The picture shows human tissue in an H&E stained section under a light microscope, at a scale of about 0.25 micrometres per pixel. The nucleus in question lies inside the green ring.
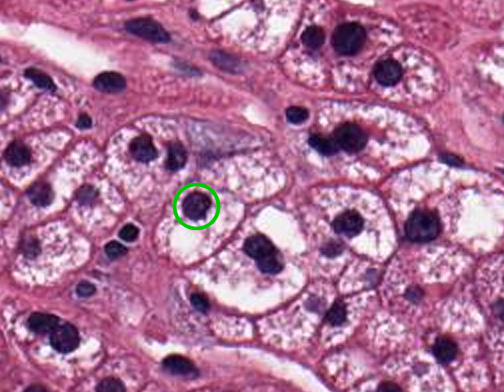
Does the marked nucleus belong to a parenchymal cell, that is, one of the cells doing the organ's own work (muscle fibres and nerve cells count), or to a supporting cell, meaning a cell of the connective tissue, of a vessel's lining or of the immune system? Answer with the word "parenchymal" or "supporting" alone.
parenchymal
